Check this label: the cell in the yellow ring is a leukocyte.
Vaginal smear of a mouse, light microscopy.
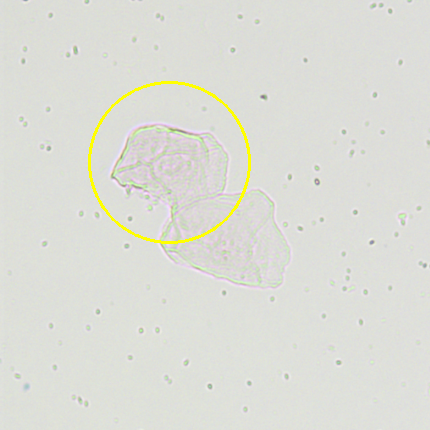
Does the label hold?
The label does not hold; the cell is a cornified epithelial cell.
